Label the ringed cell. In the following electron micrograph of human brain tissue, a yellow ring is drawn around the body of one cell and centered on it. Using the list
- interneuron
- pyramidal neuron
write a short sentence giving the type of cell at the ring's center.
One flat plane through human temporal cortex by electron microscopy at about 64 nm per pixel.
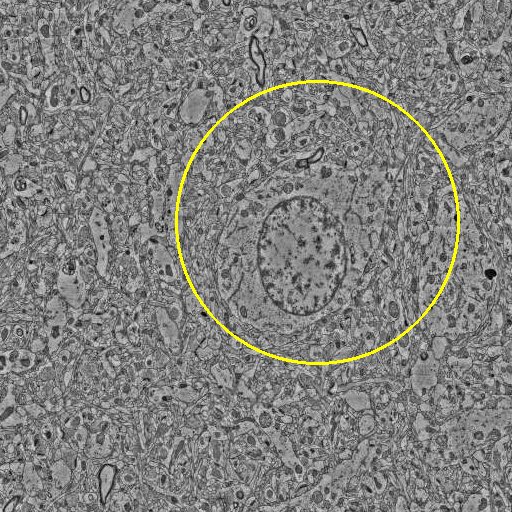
The cell body at the ring's center is that of a pyramidal neuron.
